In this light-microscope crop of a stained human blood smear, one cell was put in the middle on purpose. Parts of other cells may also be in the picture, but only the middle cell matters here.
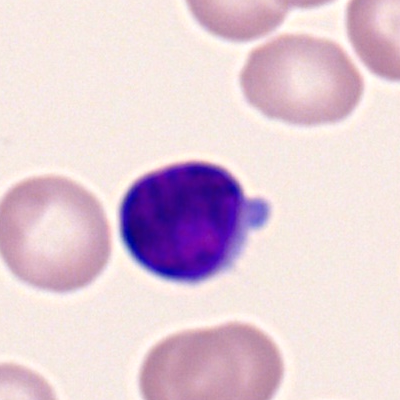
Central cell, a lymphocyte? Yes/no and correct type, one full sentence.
Yes, the cell occupying the center is a lymphocyte.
